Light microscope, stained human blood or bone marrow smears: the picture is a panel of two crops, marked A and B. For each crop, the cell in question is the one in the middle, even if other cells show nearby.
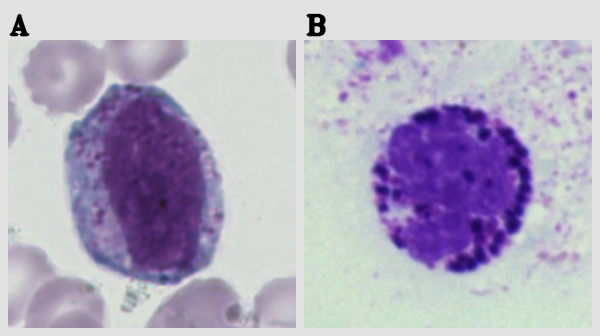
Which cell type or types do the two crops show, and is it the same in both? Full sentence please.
No, mark crop A as a promyelocyte and crop B as a basophil.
